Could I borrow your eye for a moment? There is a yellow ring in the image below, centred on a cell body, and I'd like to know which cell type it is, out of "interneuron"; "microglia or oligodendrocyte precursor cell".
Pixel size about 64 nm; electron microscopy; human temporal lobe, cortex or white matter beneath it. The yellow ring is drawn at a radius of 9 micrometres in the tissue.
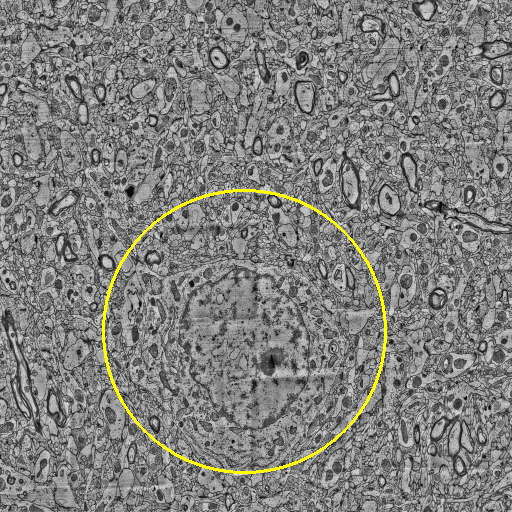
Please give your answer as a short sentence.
The cell body at the centre is that of an interneuron.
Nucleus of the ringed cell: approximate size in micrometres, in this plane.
The nucleus works out at approximately 10 by 8 micrometres in this plane.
